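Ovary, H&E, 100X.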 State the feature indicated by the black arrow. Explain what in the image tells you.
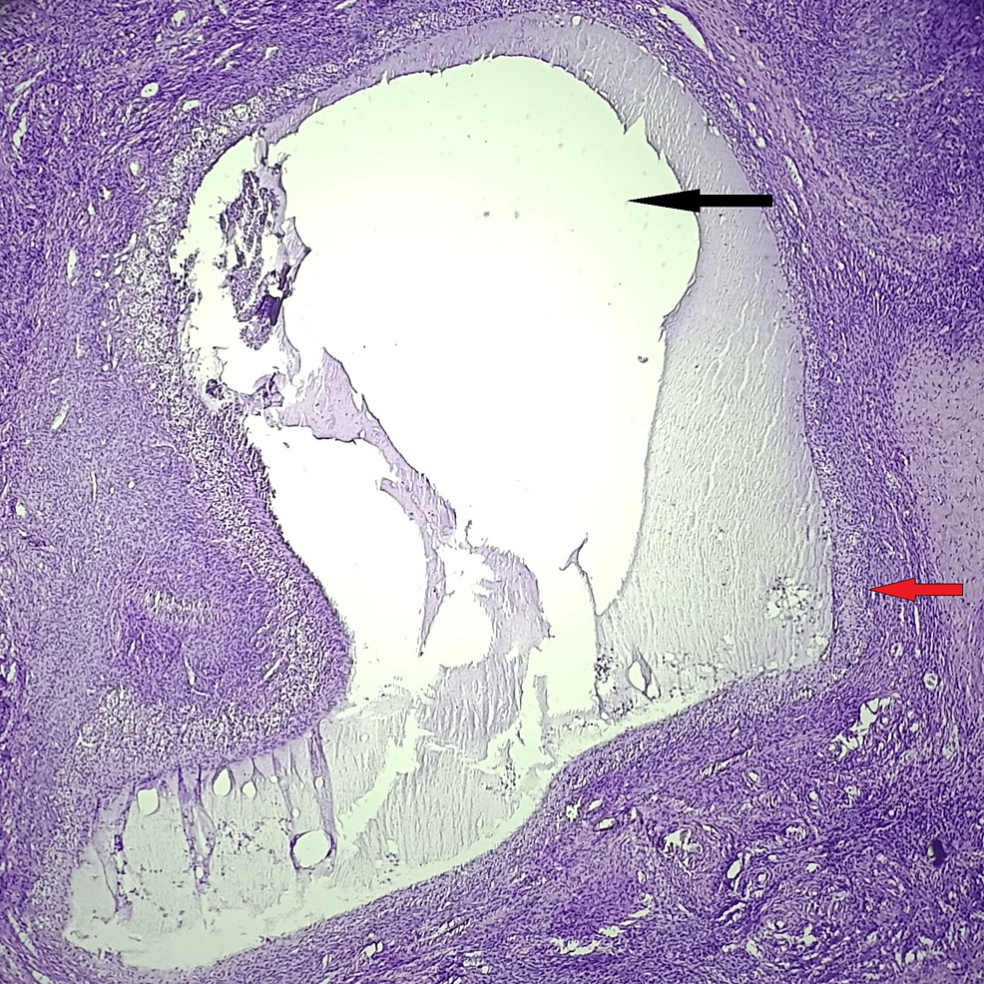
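The cavity is mostly empty, with pale, faintly pink-purple amorphous material along its edges. The cavity is ringed by a rim of cells and surrounded by dense, purple, cellular stroma. On this evidence: follicular cyst.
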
